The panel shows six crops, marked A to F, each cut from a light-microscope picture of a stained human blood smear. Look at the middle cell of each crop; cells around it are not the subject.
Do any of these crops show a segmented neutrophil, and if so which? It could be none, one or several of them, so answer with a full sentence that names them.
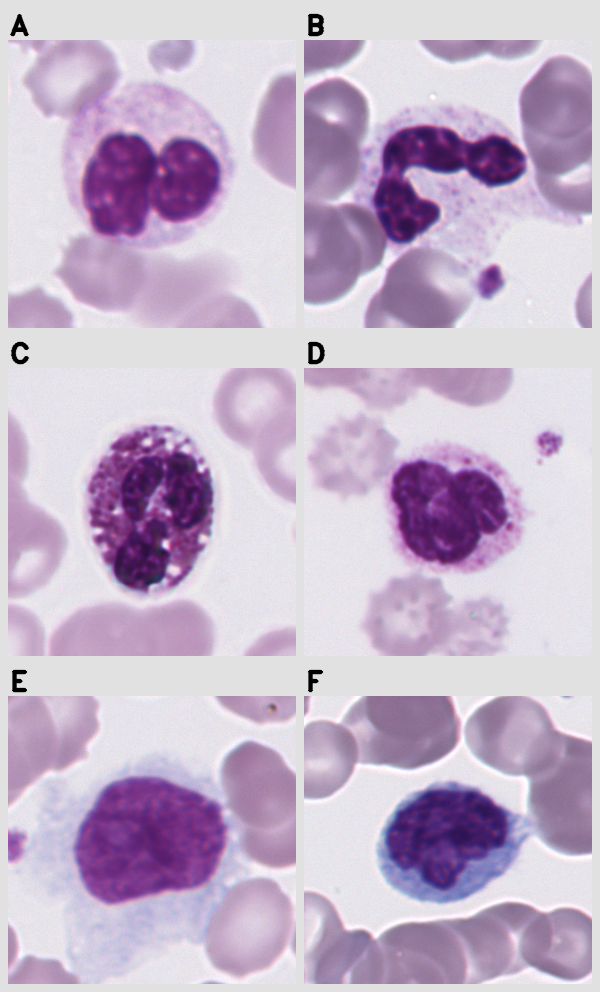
That crops A, B and D show segmented neutrophils is the identification made here.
